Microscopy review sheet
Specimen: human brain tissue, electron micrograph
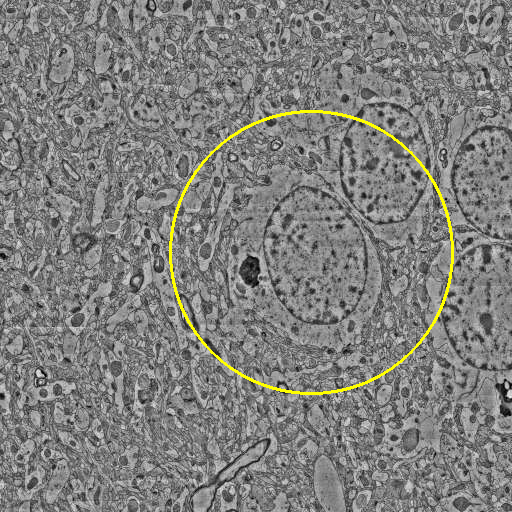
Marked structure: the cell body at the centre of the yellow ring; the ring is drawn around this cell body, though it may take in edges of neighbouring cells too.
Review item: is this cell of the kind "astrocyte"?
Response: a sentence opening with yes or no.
Yes, this cell is of that kind.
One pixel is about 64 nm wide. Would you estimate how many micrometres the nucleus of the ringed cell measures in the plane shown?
The nucleus measures about 9 by 7 micrometres in this plane.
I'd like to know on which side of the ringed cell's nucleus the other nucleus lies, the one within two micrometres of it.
The second nucleus lies to the upper right of it.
